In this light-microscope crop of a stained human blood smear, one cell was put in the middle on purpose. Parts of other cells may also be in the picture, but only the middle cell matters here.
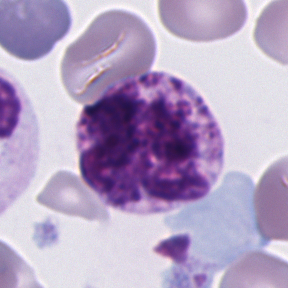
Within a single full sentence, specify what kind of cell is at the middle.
Centred in the crop is a basophil.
